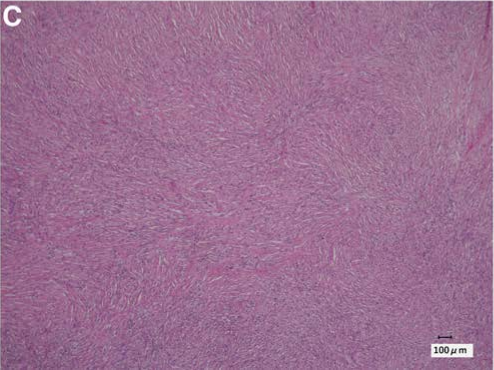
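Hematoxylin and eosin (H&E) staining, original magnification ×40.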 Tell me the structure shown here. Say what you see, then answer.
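Storiform pattern. Fascicles of elongated cells run in short, crossing, whorled directions. The pattern fills the whole field without glands or cavities.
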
